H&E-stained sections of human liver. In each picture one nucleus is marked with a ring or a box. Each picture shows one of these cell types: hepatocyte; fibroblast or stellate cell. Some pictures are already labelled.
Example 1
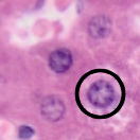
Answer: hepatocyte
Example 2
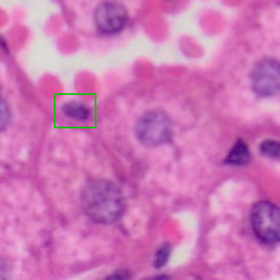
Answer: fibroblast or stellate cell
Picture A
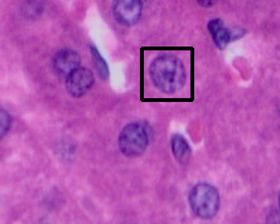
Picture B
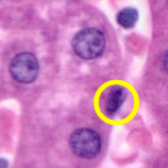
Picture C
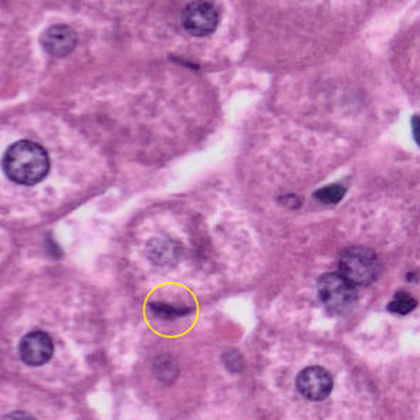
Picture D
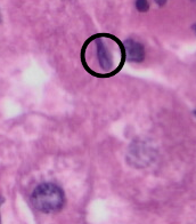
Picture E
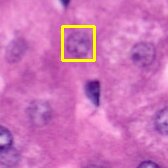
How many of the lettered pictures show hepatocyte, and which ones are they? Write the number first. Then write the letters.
Count: 2 (A, E)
